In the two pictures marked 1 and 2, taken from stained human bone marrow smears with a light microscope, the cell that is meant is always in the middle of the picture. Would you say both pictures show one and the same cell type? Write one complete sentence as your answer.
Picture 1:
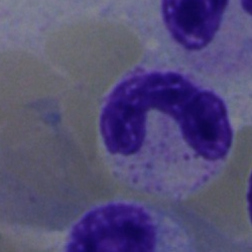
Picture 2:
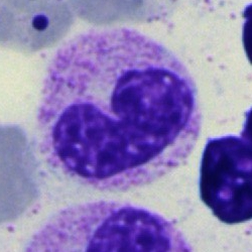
Yes, the two pictures both show band neutrophils.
